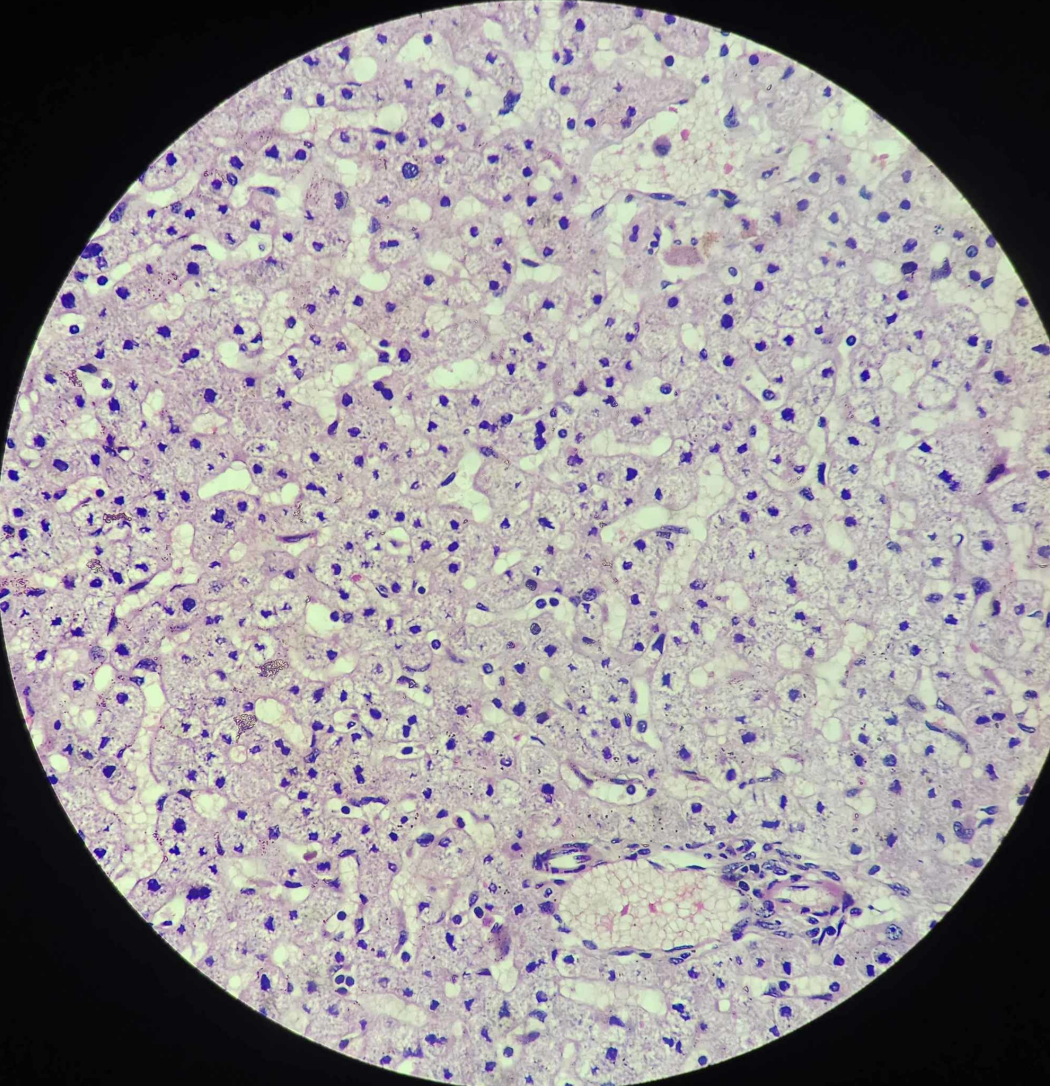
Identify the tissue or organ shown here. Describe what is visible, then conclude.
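A solid sheet of polygonal cells in interconnecting plates separated by channel-like spaces. A small vessel with surrounding connective tissue lies near the lower right. The answer: hepatic tissue.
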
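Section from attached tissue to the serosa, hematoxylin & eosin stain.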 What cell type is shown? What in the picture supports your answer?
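Hepatocytes. Cells are arranged in anastomosing cords or plates. Pale, clear spaces run between the cords of cells.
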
